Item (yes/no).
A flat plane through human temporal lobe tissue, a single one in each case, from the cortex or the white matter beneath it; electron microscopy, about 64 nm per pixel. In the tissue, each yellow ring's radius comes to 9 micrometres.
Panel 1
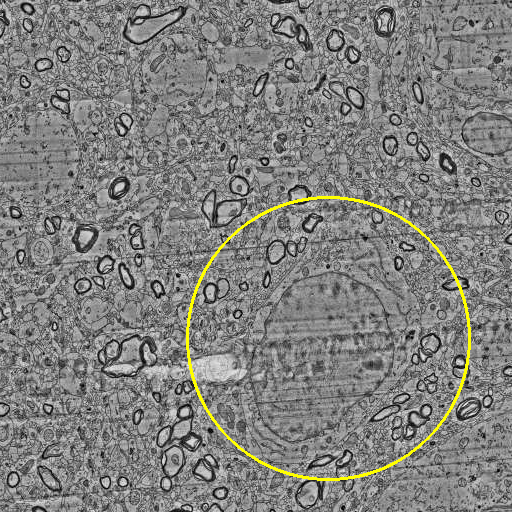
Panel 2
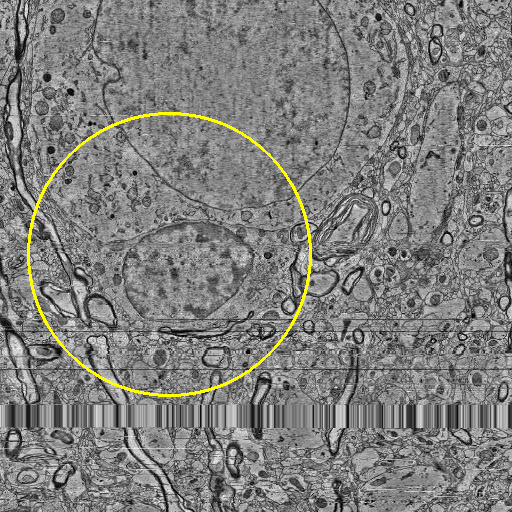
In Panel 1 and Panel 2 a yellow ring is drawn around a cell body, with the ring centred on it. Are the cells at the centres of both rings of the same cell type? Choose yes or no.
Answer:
no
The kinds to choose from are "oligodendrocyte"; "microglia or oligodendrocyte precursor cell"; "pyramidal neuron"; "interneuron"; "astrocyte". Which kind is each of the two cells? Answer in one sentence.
Of the two, the first cell is an interneuron and the second cell is an oligodendrocyte.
